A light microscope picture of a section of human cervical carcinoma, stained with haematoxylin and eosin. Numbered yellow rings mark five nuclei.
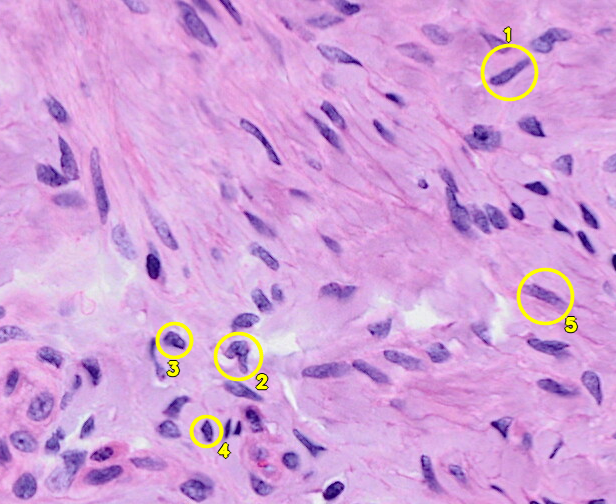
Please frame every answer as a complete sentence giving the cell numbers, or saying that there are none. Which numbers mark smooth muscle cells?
Cell 5 stands alone among the numbered cells as a smooth muscle cell.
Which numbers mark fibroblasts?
The identity of cells 1, 3 and 4: they are fibroblasts.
